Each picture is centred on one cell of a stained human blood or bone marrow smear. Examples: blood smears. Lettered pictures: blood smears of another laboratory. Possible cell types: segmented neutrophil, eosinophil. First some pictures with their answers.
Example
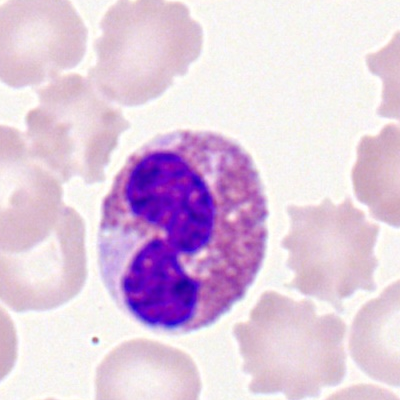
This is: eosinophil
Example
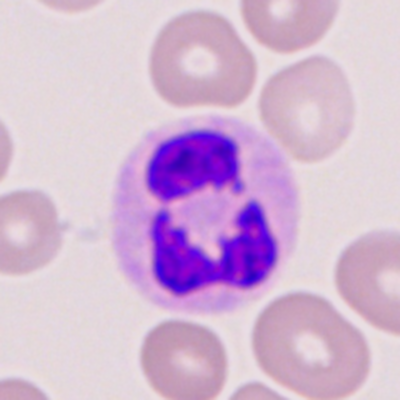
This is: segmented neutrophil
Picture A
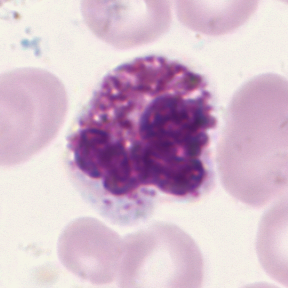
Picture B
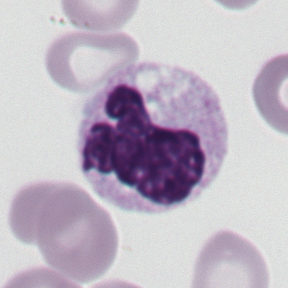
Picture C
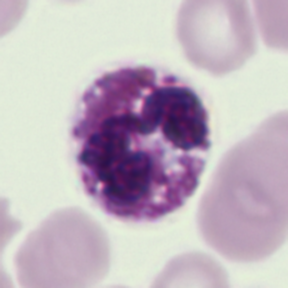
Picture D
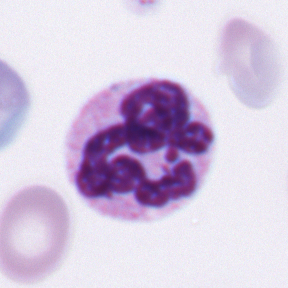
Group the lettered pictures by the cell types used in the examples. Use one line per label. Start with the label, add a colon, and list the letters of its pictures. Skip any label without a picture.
segmented neutrophil: B, D
eosinophil: A, C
